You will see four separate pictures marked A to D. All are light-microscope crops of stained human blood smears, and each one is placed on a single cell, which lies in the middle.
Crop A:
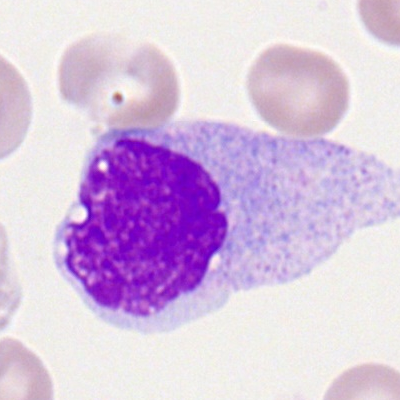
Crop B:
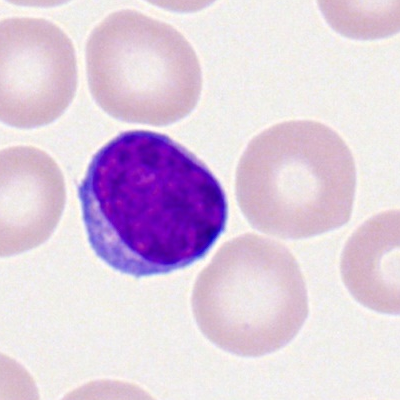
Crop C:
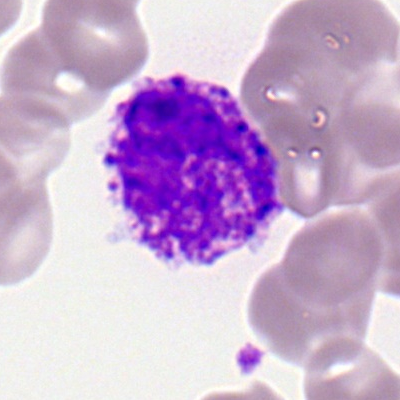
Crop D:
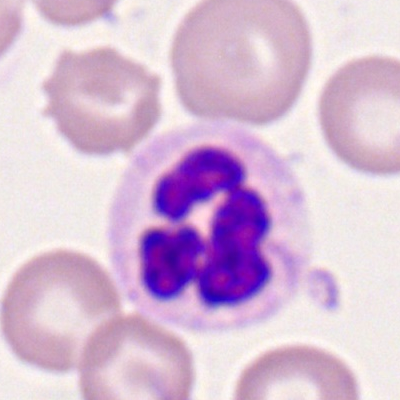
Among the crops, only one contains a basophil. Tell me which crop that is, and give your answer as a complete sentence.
Among the crops provided, a basophil occupies the center of crop C.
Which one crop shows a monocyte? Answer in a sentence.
Among the crops given, only crop A shows a monocyte.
